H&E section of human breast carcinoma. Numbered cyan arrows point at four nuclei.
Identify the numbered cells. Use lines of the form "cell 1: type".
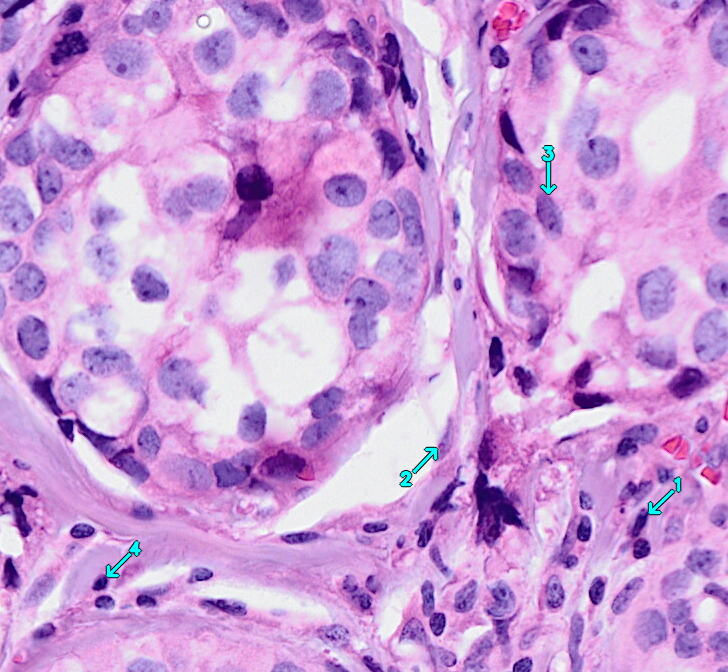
cell 1: lymphocyte
cell 2: fibroblast
cell 3: carcinoma cell
cell 4: mast cell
